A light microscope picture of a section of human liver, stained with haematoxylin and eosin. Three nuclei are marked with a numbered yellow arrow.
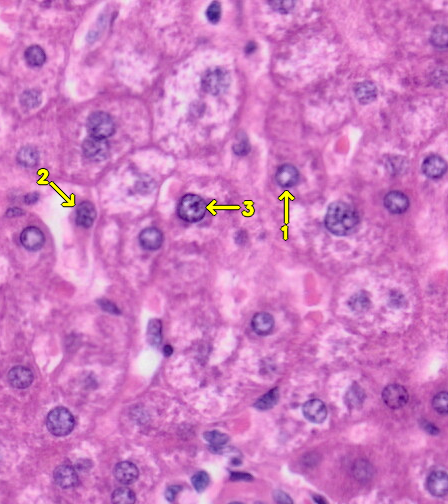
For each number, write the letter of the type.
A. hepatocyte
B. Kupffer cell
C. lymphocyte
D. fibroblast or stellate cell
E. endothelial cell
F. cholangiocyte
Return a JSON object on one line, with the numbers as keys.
{"1": "A", "2": "B", "3": "A"}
